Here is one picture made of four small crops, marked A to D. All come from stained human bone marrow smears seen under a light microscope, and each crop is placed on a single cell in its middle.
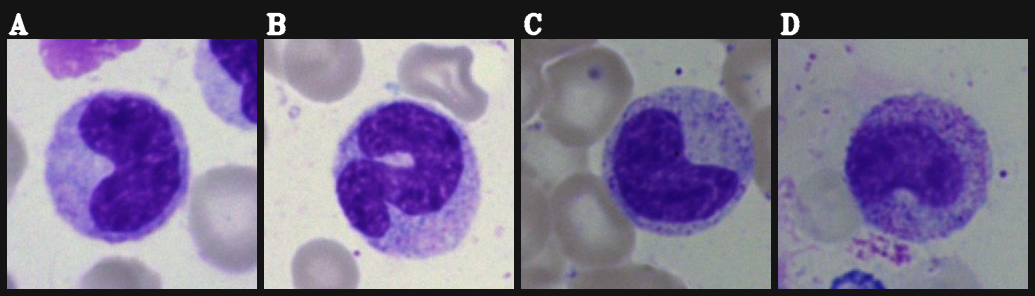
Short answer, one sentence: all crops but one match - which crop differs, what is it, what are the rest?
Crop B breaks the pattern with a monocyte; all the others show metamyelocytes.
